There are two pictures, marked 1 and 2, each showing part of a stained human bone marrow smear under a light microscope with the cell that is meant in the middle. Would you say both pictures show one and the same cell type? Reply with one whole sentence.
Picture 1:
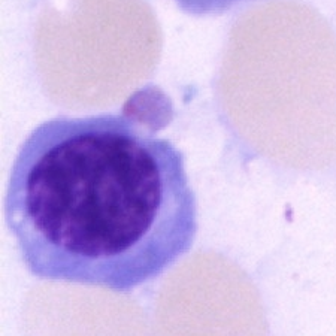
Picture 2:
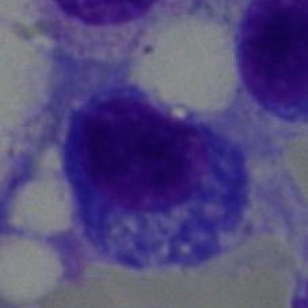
No. Picture 1 shows an erythroblast, but picture 2 shows a plasma cell.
